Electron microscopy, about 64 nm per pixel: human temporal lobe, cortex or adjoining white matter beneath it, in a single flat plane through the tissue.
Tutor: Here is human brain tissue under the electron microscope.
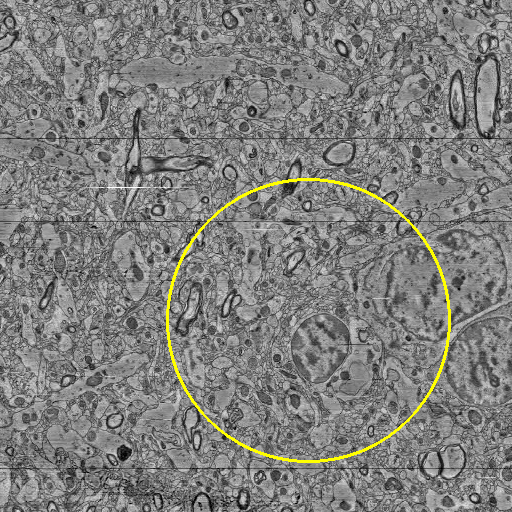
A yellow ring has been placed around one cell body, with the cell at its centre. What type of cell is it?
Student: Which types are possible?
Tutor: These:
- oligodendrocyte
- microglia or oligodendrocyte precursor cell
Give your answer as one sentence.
What the ring picks out here is a microglial cell or oligodendrocyte precursor cell.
